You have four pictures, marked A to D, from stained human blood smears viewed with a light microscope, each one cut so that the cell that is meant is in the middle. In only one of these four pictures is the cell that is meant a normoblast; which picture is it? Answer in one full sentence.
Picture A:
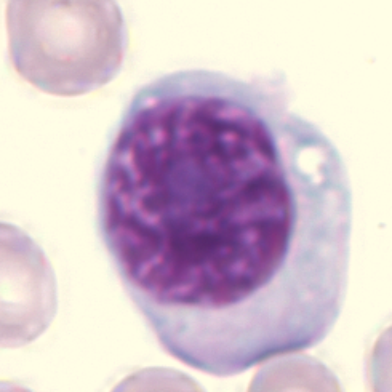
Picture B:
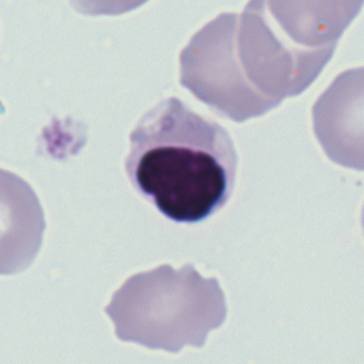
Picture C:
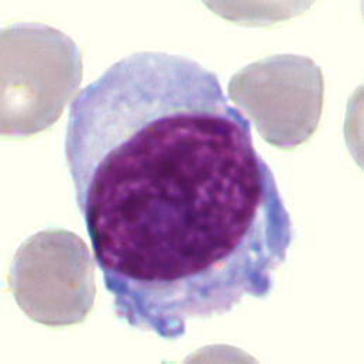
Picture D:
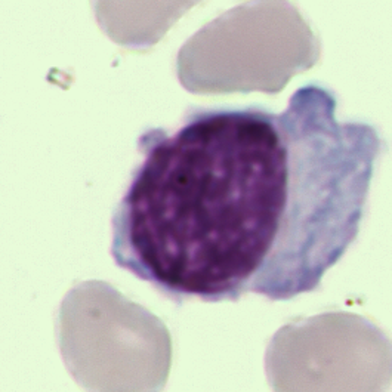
Picture B is the one that shows the normoblast.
